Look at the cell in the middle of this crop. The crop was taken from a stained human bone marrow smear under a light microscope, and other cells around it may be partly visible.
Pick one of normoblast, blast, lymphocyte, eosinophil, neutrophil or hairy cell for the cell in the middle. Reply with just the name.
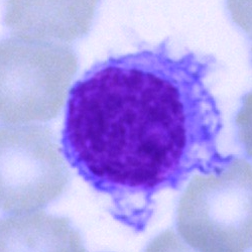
hairy cell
